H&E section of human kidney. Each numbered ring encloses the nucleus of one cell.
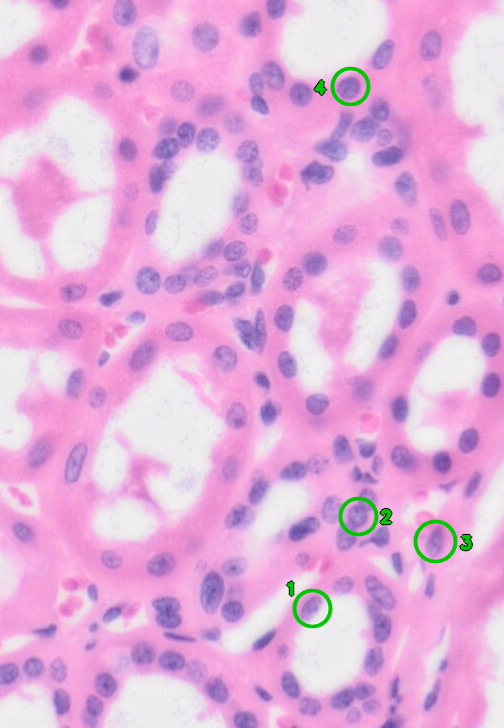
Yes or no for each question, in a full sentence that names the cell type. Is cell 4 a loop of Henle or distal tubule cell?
Yes, the cell with the number 4 is a loop of Henle or distal tubule cell.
